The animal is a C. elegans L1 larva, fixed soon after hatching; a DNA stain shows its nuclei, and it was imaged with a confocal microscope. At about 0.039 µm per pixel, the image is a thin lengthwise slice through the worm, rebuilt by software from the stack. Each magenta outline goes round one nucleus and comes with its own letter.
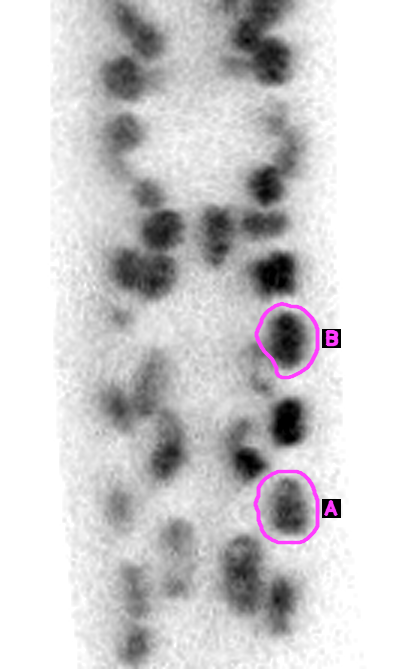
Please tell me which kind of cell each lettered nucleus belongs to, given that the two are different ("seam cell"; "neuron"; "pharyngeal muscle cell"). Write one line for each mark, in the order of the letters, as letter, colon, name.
A: seam cell
B: neuron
